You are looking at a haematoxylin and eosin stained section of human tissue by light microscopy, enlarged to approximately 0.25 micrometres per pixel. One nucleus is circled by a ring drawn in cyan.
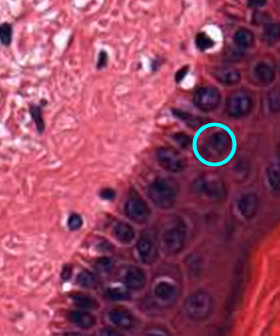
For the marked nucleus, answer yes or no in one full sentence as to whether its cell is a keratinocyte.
Yes, the marked nucleus, in this picture, is that of a keratinocyte.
